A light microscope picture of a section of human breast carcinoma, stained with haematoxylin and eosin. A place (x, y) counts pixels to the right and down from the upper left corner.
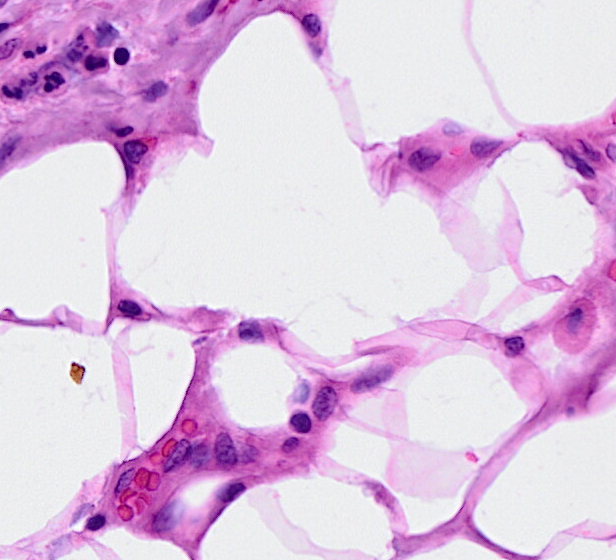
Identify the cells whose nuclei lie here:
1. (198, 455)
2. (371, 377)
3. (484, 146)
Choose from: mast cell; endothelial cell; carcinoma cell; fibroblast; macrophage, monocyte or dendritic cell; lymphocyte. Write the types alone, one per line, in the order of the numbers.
endothelial cell
fibroblast
endothelial cell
